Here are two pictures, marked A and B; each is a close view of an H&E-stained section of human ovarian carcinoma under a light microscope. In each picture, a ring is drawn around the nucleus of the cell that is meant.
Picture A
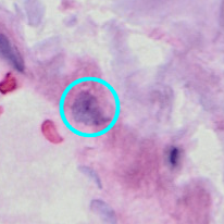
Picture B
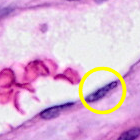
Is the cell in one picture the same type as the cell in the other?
yes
